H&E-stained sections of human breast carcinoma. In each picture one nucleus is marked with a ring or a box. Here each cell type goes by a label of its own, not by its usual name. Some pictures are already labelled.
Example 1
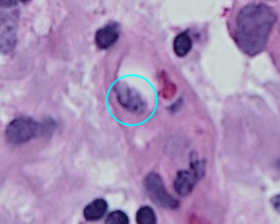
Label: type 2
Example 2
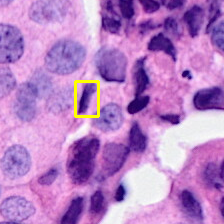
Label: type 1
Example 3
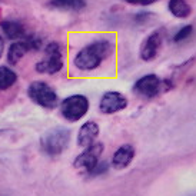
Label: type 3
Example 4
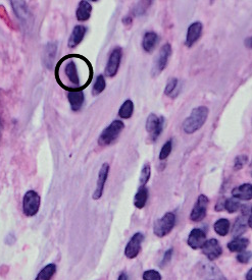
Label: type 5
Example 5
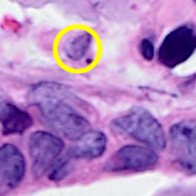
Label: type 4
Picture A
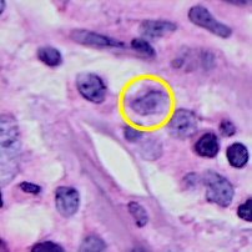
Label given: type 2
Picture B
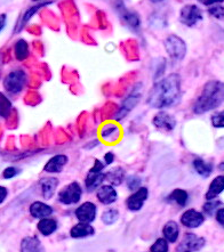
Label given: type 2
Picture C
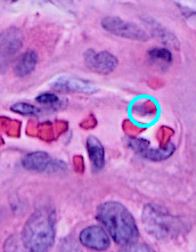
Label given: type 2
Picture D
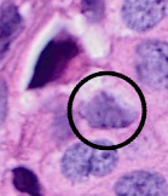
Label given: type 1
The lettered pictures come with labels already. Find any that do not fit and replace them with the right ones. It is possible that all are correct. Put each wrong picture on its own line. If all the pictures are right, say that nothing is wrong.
A: not type 2 but type 4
